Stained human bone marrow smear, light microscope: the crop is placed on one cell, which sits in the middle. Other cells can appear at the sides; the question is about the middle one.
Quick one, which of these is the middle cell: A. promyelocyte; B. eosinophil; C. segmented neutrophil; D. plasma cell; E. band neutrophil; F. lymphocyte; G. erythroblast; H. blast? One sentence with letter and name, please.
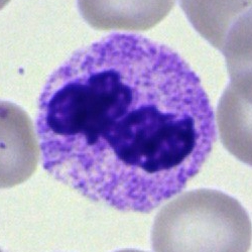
The cell in the middle is a segmented neutrophil, so option C is correct.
